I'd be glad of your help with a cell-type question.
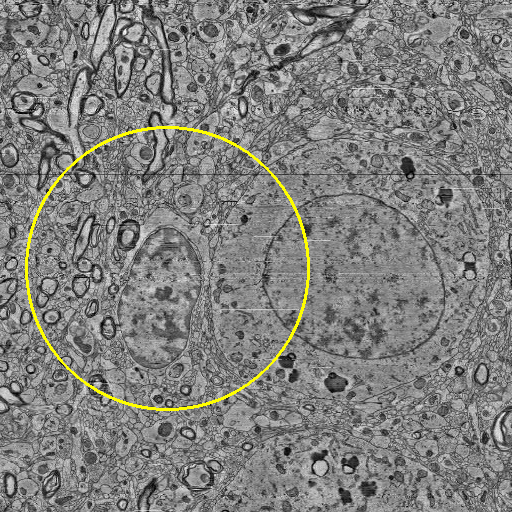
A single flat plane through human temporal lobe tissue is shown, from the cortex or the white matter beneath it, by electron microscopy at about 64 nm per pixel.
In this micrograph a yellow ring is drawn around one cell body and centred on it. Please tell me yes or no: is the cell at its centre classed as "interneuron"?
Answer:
no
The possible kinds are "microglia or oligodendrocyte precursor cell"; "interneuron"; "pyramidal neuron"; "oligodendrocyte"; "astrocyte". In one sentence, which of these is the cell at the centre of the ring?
The correct answer is that the cell is a microglial cell or oligodendrocyte precursor cell.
